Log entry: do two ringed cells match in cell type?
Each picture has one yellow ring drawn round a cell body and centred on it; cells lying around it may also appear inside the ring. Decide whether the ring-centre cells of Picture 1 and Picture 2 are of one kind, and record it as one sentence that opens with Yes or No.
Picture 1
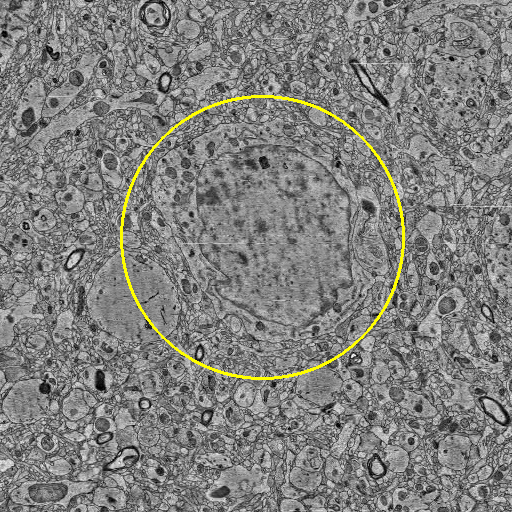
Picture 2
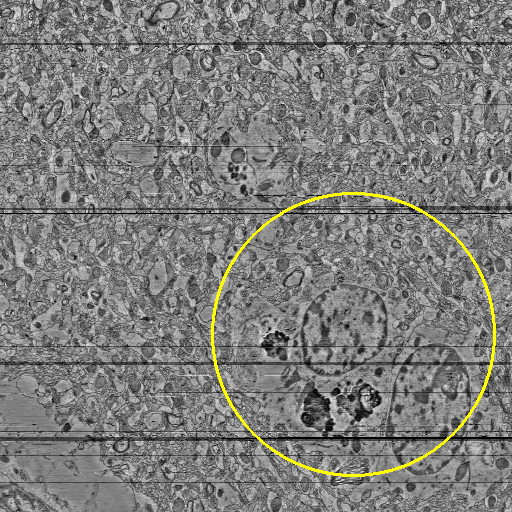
No, the cells at the ring centres of the two pictures belong to two kinds.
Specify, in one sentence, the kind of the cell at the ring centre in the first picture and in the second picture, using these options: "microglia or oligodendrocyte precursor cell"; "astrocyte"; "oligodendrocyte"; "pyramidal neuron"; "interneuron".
So the first is an interneuron, the second an astrocyte.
